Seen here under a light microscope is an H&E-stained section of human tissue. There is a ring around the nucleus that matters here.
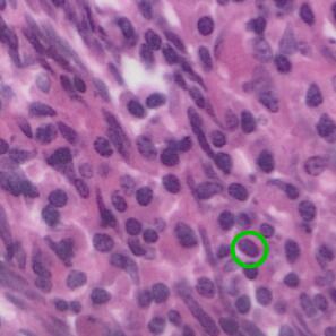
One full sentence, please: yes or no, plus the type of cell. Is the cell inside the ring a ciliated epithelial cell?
No, the cell inside the ring is simply a plasma cell rather than a ciliated epithelial cell.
